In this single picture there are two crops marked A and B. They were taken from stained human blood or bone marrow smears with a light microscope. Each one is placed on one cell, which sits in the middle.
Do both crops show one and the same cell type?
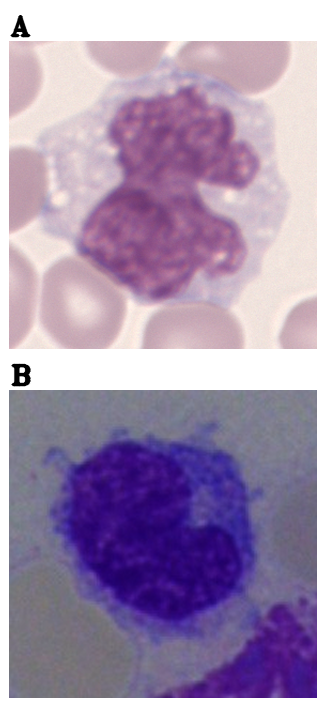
yes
